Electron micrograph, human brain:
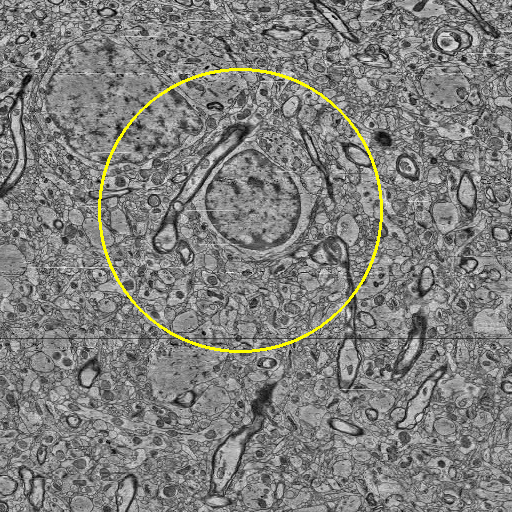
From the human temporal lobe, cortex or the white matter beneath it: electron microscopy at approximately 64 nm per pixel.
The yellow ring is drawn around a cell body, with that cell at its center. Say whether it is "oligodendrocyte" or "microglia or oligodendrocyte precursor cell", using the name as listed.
microglia or oligodendrocyte precursor cell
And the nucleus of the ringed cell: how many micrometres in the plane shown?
In this plane, the nucleus measures approximately 6 micrometres across.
